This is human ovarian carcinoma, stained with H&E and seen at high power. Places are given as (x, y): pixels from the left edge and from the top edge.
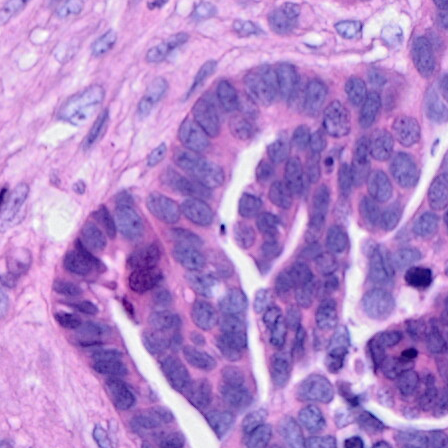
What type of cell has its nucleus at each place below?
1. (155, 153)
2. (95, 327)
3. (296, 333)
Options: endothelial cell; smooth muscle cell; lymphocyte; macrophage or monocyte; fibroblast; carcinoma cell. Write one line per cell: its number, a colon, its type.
1: fibroblast
2: carcinoma cell
3: carcinoma cell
